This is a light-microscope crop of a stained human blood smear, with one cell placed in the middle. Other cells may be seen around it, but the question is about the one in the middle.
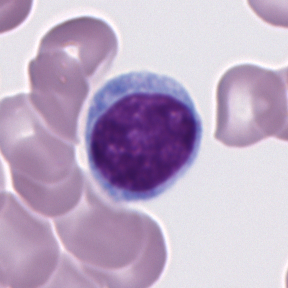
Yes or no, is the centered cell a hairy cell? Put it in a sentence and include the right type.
No, the cell at the centre is identified as a typical lymphocyte, not as a hairy cell.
